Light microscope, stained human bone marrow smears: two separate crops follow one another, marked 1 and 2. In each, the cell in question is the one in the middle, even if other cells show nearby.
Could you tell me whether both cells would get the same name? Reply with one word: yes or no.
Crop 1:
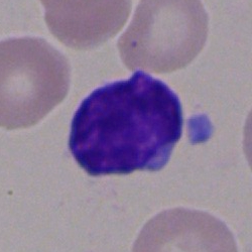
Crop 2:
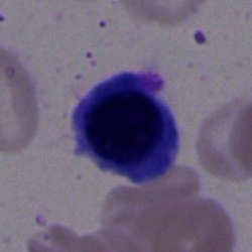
no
